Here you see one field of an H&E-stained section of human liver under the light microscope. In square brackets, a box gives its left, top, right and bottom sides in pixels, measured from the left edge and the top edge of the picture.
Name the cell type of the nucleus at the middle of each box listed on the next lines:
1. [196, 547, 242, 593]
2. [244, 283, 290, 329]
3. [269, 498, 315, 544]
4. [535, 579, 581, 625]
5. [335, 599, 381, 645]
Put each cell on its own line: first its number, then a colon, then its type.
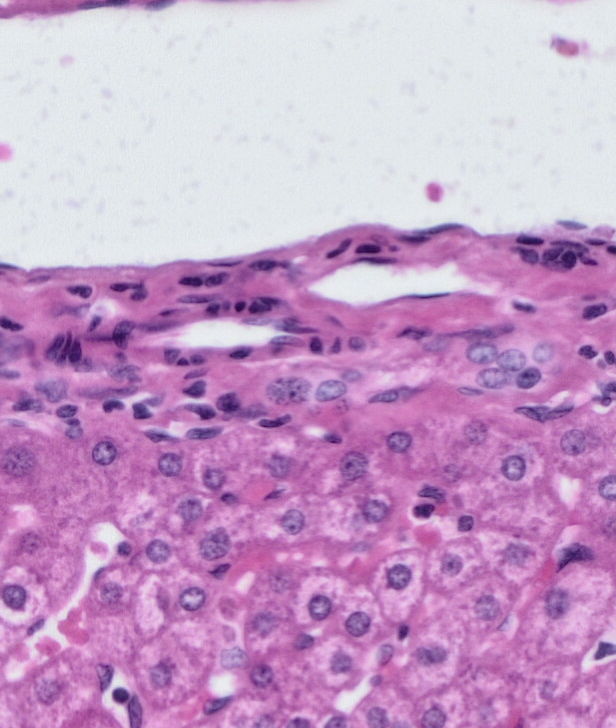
1: fibroblast or stellate cell
2: fibroblast or stellate cell
3: hepatocyte
4: hepatocyte
5: hepatocyte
